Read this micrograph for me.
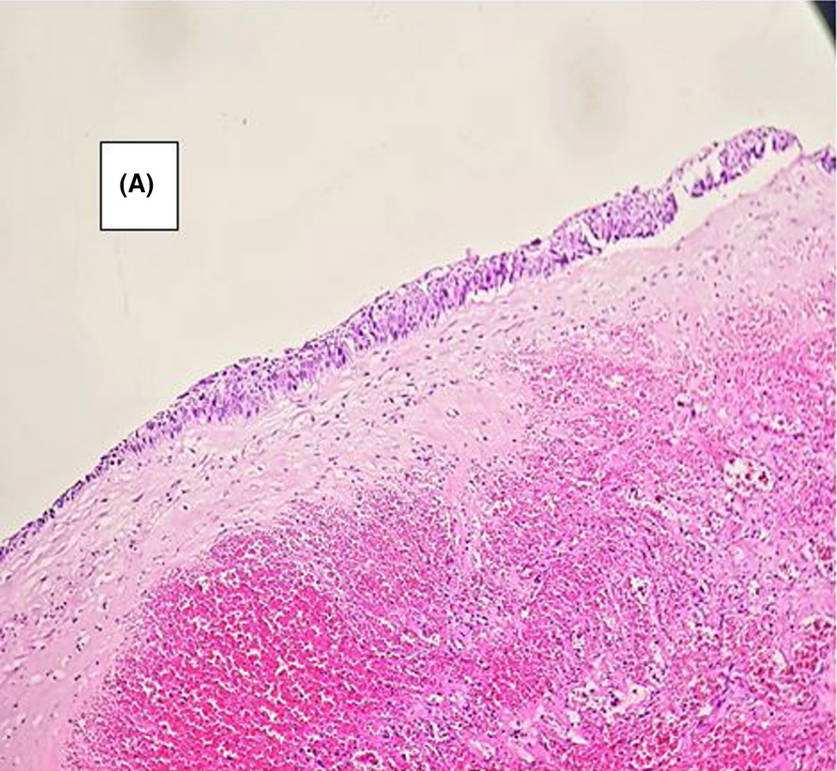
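This is the wall of a cyst, with its lining epithelium along the upper free edge. The lining is a thin layer of closely packed cells with dark purple nuclei, lifting slightly away from the tissue in one place. Below it lies a band of pale pink connective tissue with scattered small nuclei. Deeper still, the wall is filled by a large area of bright red blood cells, a zone of hemorrhage.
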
